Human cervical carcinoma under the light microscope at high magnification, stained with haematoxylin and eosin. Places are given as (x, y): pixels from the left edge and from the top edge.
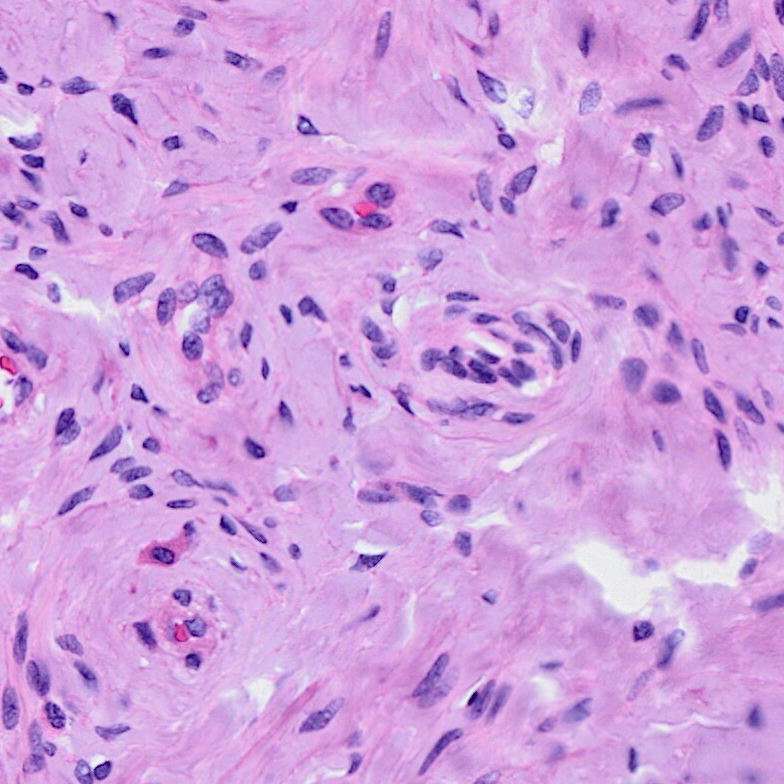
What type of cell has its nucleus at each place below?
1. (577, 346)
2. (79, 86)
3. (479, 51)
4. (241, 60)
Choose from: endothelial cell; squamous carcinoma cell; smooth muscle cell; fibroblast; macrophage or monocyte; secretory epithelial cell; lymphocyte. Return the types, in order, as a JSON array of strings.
["fibroblast", "fibroblast", "smooth muscle cell", "fibroblast"]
